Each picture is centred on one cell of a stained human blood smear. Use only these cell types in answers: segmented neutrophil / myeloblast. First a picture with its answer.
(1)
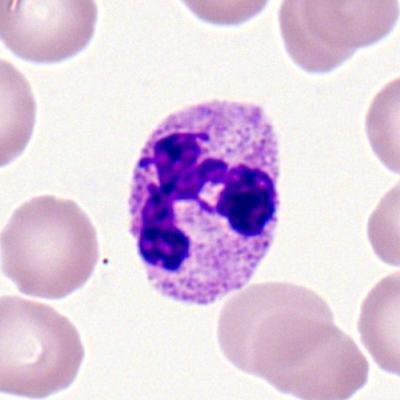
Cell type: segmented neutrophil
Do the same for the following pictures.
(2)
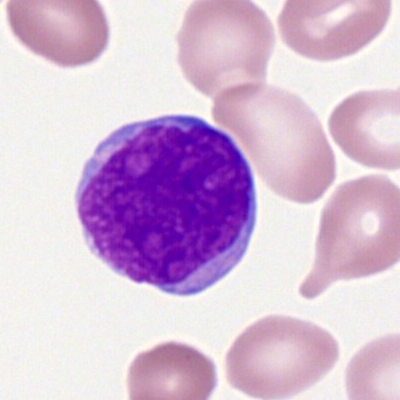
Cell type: myeloblast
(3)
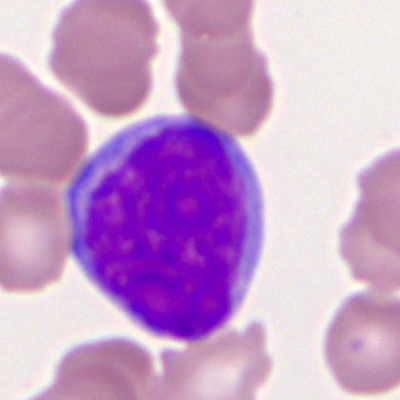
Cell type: myeloblast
